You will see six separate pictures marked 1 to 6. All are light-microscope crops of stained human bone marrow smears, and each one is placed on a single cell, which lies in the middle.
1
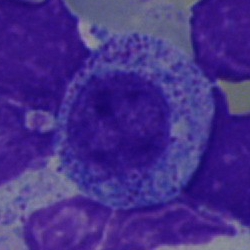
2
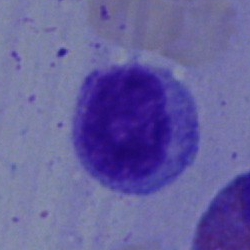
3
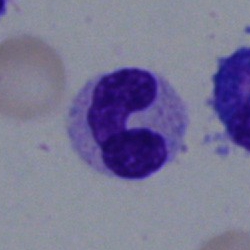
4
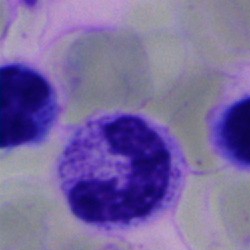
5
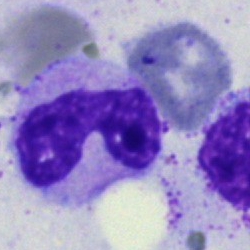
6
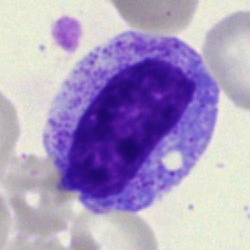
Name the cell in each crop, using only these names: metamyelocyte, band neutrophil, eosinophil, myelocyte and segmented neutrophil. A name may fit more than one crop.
1: myelocyte
2: myelocyte
3: band neutrophil
4: band neutrophil
5: band neutrophil
6: metamyelocyte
